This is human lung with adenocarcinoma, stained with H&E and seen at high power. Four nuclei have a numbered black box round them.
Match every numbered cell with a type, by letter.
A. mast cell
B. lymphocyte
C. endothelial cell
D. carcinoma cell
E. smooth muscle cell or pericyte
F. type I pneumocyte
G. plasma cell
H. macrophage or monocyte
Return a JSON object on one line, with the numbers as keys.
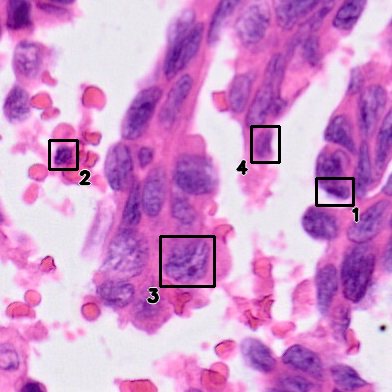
{"1": "D", "2": "B", "3": "D", "4": "D"}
